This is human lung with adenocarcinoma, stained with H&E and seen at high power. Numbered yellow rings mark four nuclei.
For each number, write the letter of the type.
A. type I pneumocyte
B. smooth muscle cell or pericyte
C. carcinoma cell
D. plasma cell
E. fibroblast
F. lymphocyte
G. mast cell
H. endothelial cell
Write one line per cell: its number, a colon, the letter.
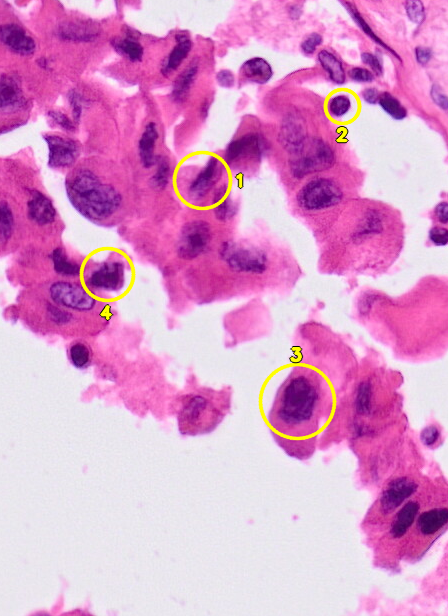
1: C
2: F
3: C
4: C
